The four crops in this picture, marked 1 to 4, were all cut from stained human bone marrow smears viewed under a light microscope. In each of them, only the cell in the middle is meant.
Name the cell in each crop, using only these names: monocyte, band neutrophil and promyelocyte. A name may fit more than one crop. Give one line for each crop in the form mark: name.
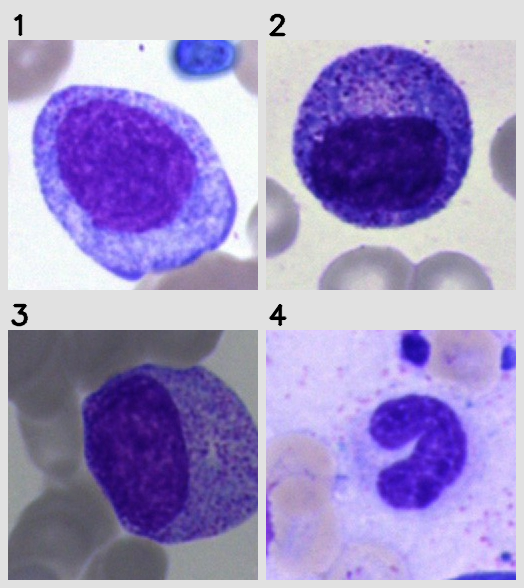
1: promyelocyte
2: promyelocyte
3: promyelocyte
4: band neutrophil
